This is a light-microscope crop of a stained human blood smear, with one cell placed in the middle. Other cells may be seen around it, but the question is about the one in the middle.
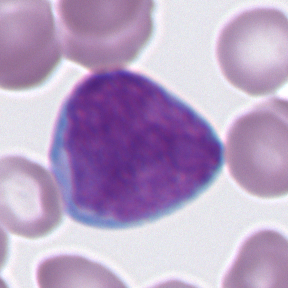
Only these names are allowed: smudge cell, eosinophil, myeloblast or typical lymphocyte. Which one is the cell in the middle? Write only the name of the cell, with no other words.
myeloblast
